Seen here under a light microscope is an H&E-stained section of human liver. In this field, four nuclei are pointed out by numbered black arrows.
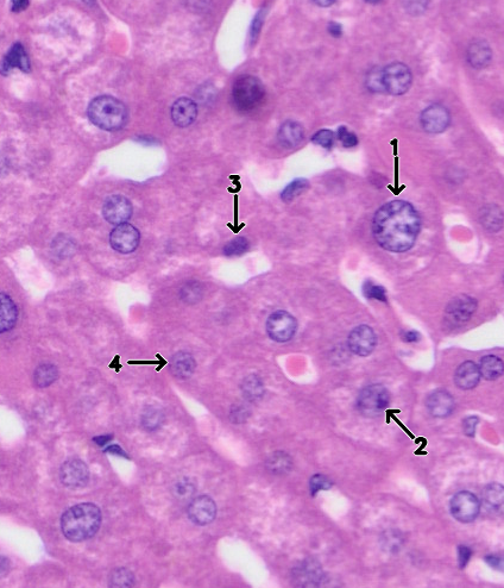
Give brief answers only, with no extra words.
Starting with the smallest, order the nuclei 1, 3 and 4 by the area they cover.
3, 4, 1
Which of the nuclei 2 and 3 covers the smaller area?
3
